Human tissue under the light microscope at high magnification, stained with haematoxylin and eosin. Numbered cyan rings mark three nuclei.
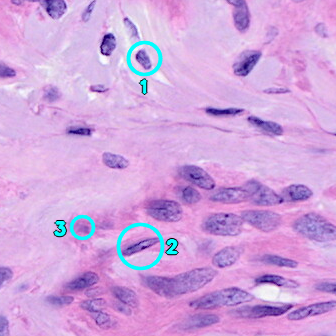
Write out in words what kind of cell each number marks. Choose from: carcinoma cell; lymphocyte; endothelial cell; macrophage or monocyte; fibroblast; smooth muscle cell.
Cell 1 is a lymphocyte. Cells 2 and 3 are smooth muscle cells.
